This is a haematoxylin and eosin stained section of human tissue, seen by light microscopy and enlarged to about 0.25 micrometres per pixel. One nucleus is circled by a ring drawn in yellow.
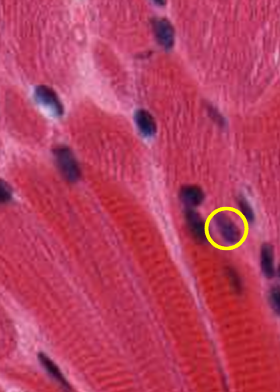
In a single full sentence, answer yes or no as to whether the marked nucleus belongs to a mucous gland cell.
No, the marked nucleus is that of a skeletal muscle fibre, not of a mucous gland cell.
